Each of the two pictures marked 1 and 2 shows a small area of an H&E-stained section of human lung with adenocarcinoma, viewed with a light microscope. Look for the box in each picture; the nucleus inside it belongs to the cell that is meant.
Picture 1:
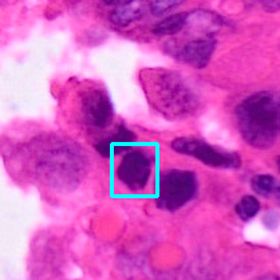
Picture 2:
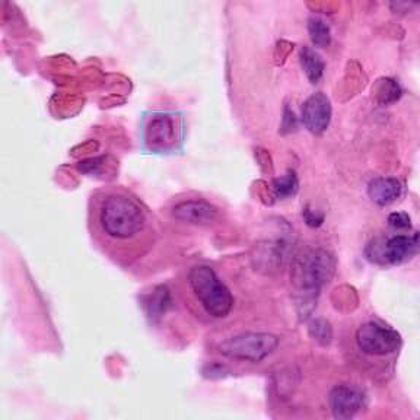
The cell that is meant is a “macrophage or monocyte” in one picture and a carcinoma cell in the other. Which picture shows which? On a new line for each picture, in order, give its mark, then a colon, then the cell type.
1: carcinoma cell
2: macrophage or monocyte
